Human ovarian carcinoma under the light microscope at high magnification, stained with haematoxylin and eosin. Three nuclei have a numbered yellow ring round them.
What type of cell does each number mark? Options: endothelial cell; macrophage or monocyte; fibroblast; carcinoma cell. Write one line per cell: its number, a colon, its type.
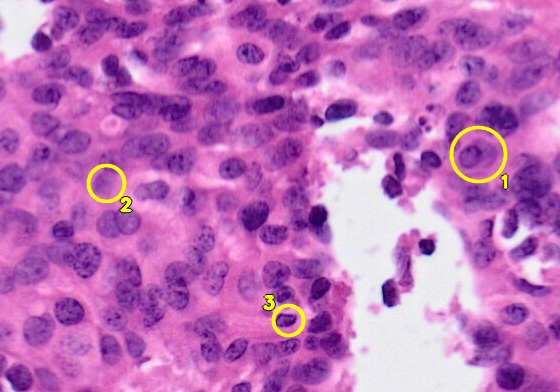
1: carcinoma cell
2: carcinoma cell
3: macrophage or monocyte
